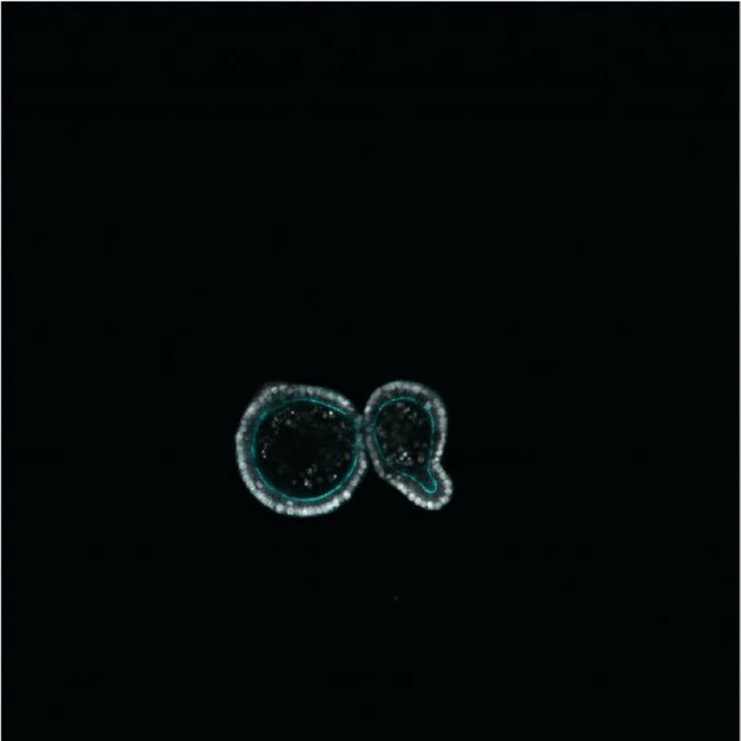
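Two epithelial organoids lie side by side, each a hollow cyst walled by a single layer of cells whose grey nuclei line up around a central lumen. The larger cyst is round, and the smaller one has a pointed, teardrop-shaped bulge.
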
